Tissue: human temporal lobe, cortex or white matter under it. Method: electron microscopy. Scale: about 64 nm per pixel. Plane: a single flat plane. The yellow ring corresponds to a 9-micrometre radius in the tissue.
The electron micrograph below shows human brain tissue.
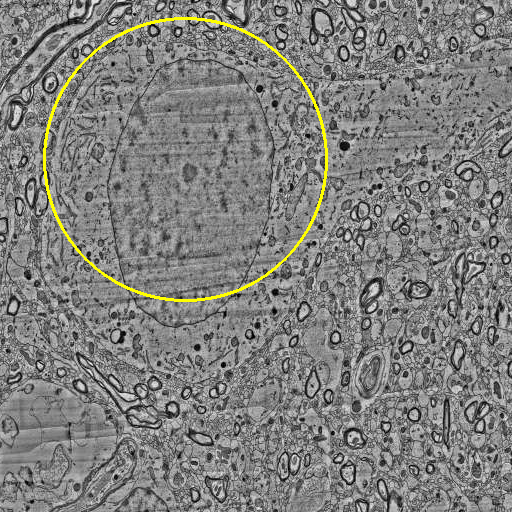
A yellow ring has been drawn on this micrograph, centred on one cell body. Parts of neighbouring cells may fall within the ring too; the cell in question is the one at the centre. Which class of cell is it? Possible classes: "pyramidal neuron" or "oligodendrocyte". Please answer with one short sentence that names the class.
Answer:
In the centre of the ring sits a pyramidal neuron.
